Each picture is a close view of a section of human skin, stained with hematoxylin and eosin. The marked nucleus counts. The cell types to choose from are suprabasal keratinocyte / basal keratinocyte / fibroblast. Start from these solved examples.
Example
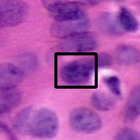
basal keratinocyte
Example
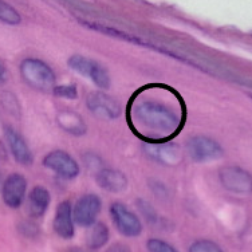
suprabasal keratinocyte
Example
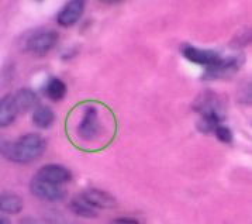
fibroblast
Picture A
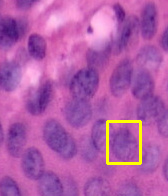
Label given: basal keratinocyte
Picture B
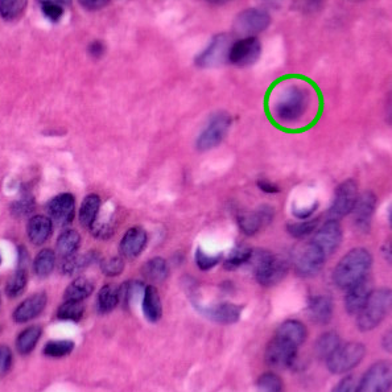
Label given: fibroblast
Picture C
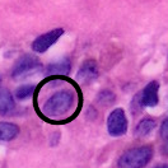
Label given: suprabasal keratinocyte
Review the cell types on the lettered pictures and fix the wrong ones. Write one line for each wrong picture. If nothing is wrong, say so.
A is labelled basal keratinocyte; correct label: suprabasal keratinocyte
C is labelled suprabasal keratinocyte; correct label: basal keratinocyte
